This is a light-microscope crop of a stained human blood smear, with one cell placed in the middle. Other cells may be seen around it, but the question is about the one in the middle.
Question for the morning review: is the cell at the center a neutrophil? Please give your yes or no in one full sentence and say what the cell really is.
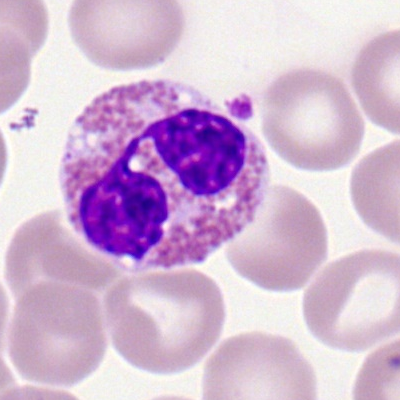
No, it is an eosinophil rather than a neutrophil that the middle of the crop contains.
